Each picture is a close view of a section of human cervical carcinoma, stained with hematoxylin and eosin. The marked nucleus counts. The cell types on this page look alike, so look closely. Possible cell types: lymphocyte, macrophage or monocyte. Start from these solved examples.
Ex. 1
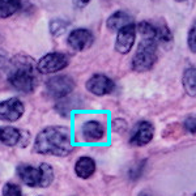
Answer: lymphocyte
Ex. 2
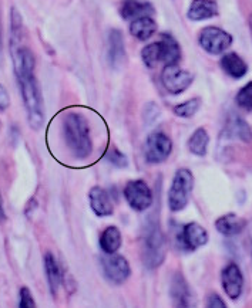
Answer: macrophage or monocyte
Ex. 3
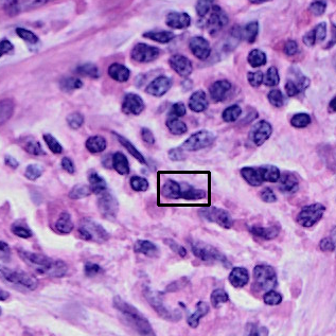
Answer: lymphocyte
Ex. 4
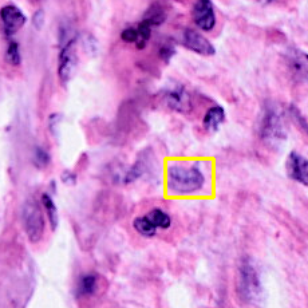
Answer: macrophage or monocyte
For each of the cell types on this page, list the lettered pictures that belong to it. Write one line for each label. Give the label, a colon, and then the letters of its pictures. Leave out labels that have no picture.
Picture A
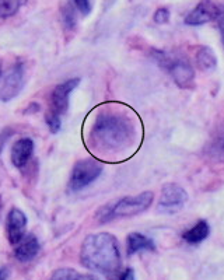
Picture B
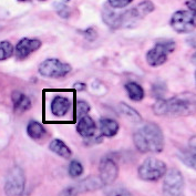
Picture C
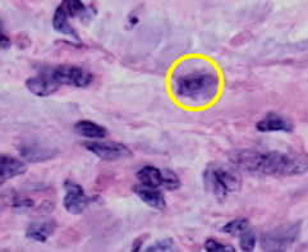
lymphocyte: B
macrophage or monocyte: A, C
